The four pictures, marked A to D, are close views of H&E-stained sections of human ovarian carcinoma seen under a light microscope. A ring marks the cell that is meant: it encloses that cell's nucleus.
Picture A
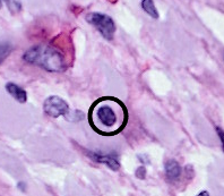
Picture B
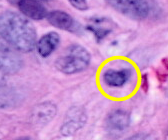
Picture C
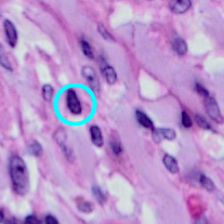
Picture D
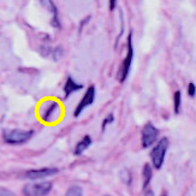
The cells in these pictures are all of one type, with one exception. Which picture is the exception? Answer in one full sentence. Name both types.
The others show lymphocytes, but picture D shows a fibroblast.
